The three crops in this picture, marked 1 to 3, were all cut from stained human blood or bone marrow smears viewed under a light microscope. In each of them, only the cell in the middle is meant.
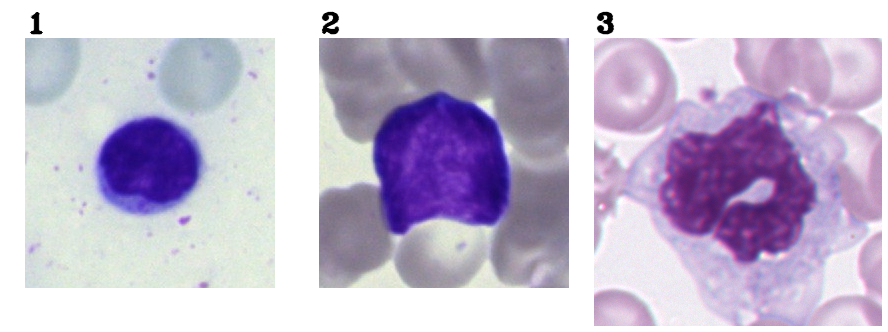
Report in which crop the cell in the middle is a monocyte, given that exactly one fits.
3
